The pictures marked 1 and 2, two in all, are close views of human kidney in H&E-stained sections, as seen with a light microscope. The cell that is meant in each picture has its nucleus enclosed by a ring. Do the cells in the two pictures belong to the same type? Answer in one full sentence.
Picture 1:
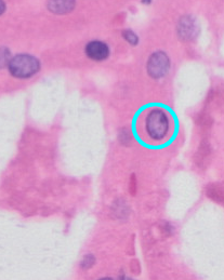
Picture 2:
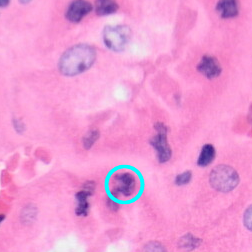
Yes, both are proximal tubule cells.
